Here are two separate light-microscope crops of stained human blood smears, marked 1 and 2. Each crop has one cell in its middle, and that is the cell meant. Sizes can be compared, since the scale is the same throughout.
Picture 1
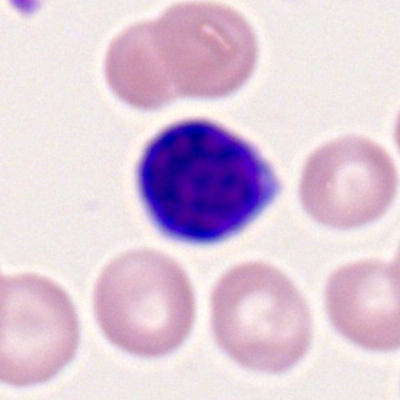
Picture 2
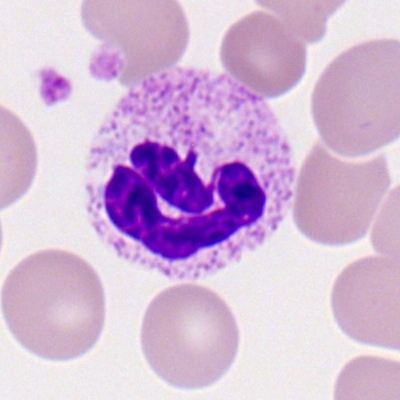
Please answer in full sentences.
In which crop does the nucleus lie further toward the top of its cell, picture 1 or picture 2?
The nucleus in picture 1 lies further toward the top of its cell.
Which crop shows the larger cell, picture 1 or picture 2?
Larger is the cell in picture 2, at roughly 2.5 times the area of the other.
